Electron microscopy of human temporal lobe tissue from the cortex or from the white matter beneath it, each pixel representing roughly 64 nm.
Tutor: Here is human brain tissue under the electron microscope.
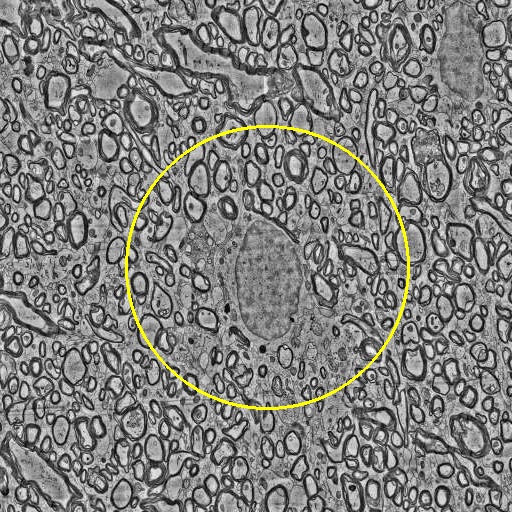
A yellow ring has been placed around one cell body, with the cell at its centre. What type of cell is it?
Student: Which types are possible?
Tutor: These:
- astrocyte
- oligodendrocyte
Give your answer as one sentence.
What the ring picks out here is an oligodendrocyte.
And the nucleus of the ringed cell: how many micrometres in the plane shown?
In this plane, approximately 8 by 4 micrometers, and clearly longer than it is wide.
